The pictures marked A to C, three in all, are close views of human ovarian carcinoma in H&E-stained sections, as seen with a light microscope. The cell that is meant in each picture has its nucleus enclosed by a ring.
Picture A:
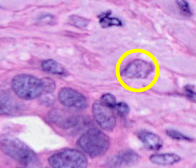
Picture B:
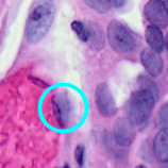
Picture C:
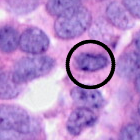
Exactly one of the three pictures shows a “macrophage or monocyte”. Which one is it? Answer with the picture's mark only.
C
